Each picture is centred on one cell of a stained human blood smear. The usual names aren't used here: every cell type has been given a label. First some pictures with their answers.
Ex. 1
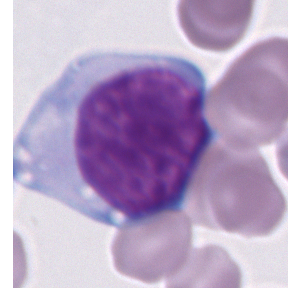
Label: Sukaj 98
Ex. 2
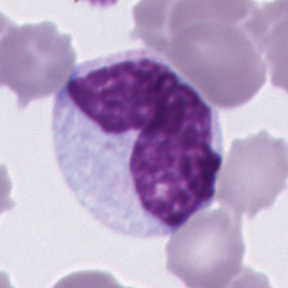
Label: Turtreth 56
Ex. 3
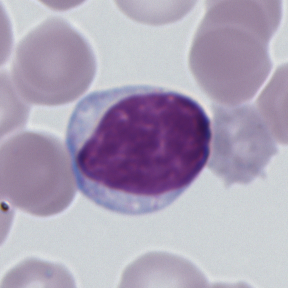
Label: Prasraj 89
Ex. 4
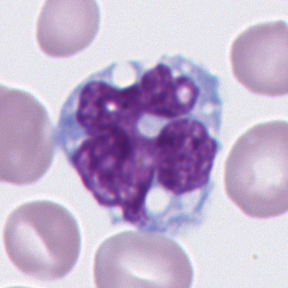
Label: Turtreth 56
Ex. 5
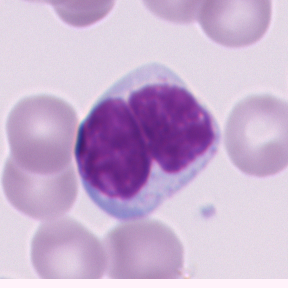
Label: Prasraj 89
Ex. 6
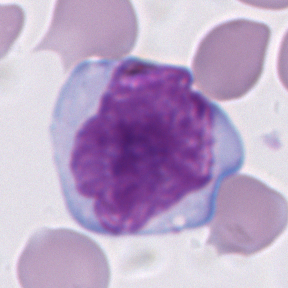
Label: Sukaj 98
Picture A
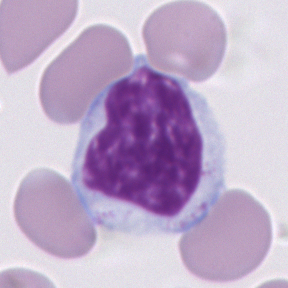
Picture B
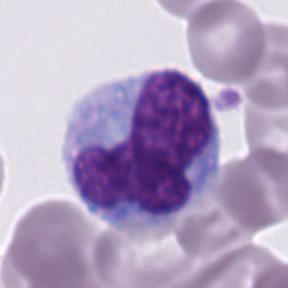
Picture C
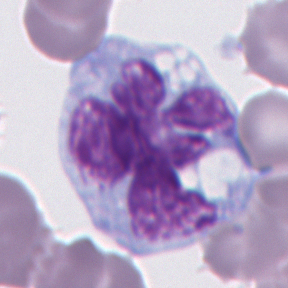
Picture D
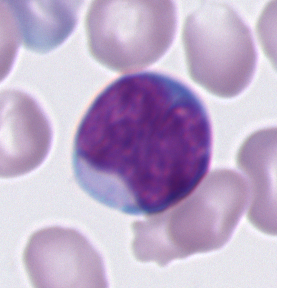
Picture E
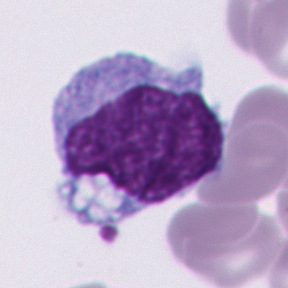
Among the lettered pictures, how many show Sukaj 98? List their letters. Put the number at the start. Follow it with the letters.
1, namely D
